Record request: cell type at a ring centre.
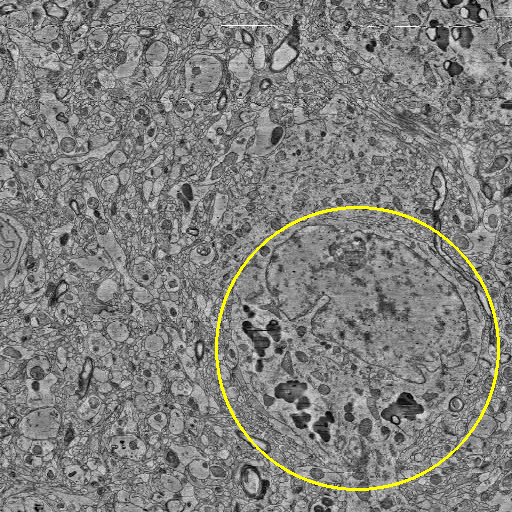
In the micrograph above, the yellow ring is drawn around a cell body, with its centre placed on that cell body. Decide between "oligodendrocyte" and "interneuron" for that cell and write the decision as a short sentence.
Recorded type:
The cell centred in the yellow ring is an interneuron.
